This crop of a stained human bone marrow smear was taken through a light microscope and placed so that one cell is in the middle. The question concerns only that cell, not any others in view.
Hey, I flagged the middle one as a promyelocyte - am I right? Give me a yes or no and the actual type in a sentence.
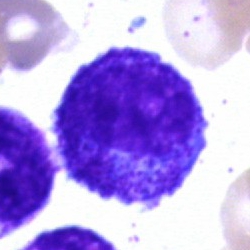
Yes, the centred cell is categorised as a promyelocyte.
